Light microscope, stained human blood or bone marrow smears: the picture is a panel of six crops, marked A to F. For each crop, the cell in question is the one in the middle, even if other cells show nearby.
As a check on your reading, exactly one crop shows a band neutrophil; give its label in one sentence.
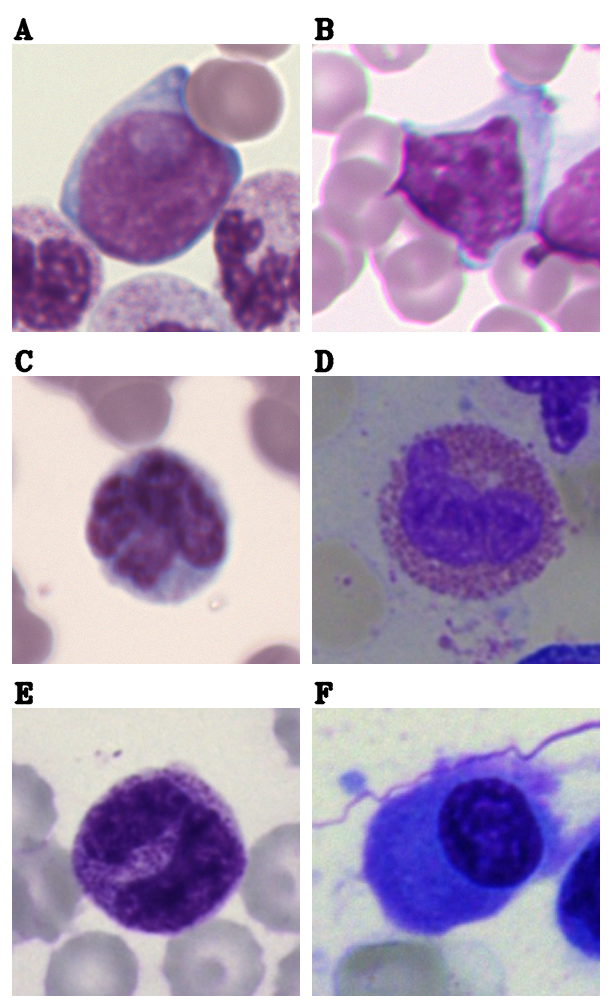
The crop with a band neutrophil in it is crop E.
